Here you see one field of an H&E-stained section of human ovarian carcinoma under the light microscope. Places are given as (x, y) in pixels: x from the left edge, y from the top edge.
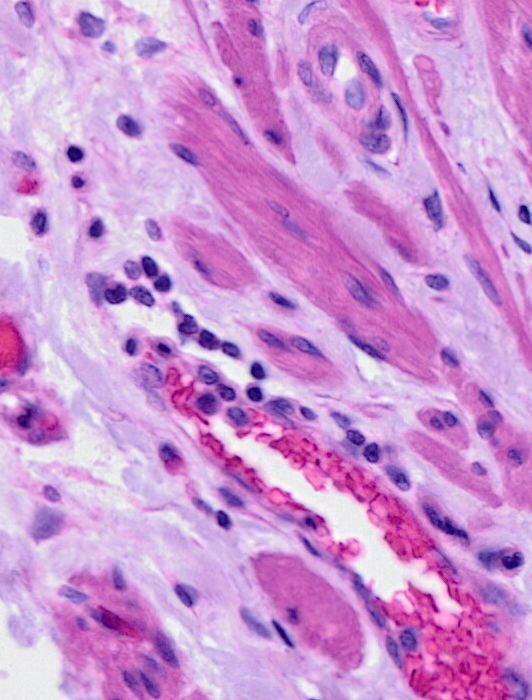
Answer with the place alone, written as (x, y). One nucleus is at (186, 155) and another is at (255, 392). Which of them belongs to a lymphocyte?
(255, 392)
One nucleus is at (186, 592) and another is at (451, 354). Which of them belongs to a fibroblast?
(186, 592)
